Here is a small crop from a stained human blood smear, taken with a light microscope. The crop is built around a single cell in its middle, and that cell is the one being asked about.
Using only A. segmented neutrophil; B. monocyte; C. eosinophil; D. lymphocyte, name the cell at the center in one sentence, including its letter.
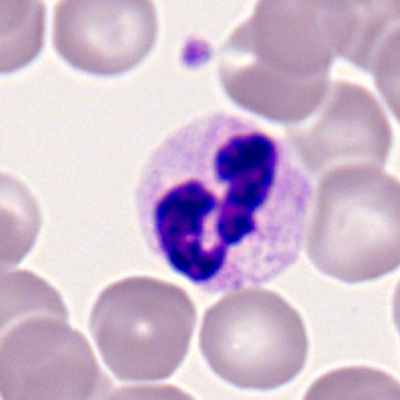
Since the cell in the centre is a segmented neutrophil, the correct option is A.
